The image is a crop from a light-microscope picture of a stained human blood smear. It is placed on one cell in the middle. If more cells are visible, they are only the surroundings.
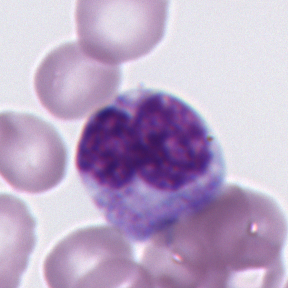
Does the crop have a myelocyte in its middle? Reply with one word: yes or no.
no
